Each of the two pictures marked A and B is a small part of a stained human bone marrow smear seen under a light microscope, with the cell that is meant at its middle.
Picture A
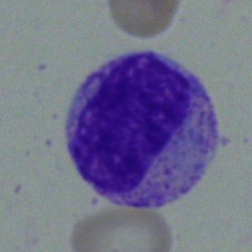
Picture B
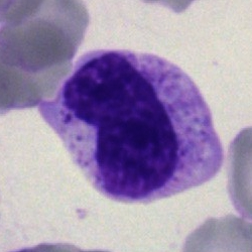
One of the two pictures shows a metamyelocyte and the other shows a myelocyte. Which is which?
A: myelocyte
B: metamyelocyte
